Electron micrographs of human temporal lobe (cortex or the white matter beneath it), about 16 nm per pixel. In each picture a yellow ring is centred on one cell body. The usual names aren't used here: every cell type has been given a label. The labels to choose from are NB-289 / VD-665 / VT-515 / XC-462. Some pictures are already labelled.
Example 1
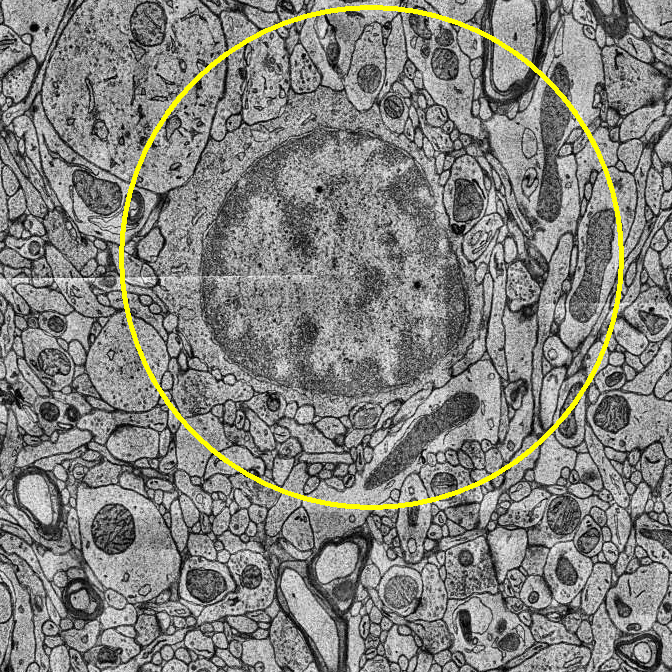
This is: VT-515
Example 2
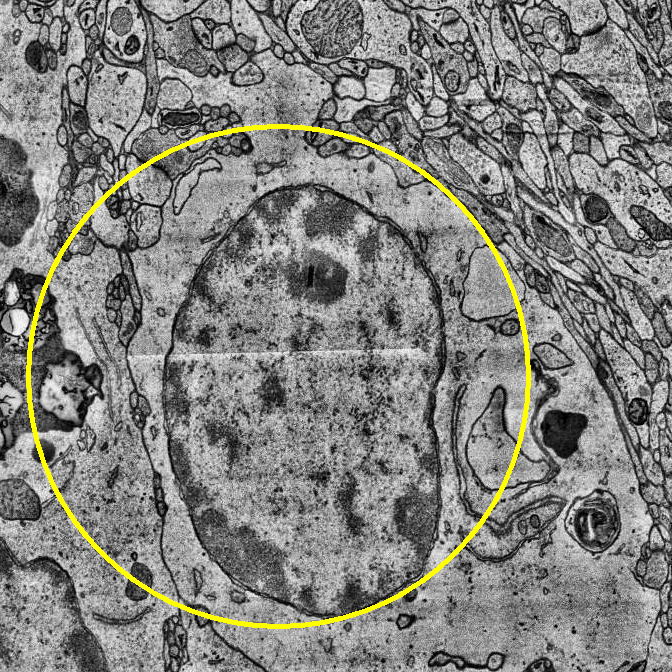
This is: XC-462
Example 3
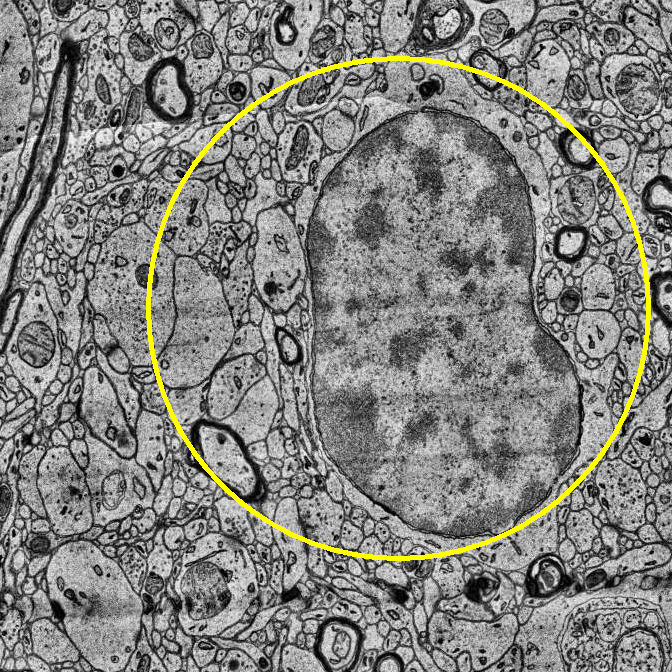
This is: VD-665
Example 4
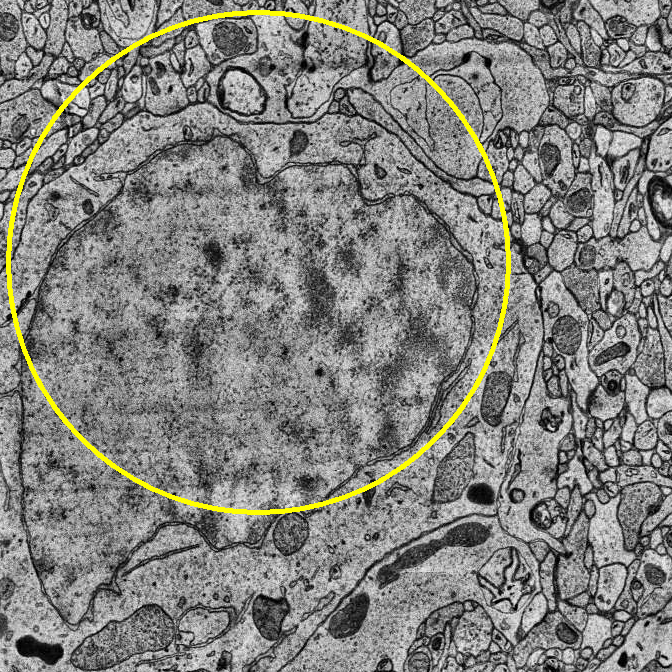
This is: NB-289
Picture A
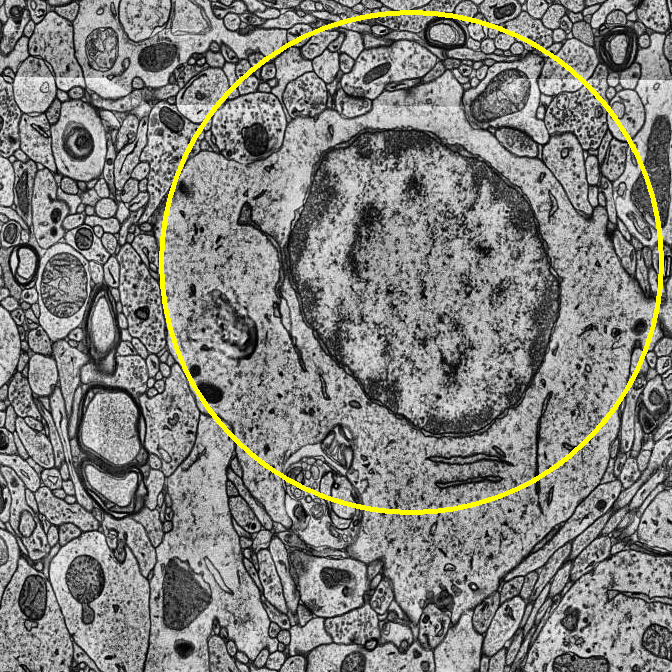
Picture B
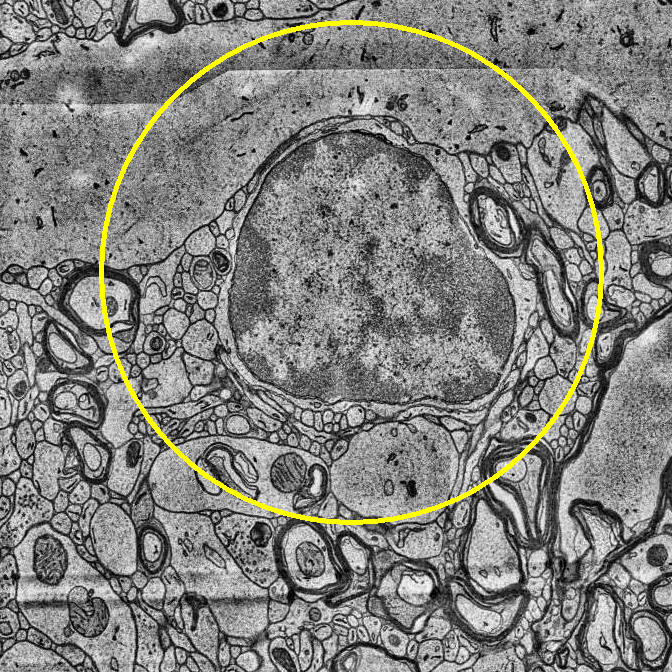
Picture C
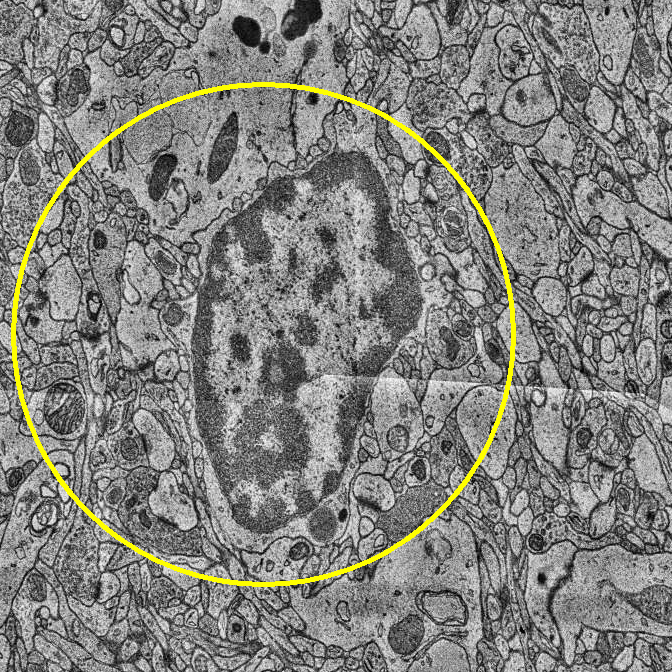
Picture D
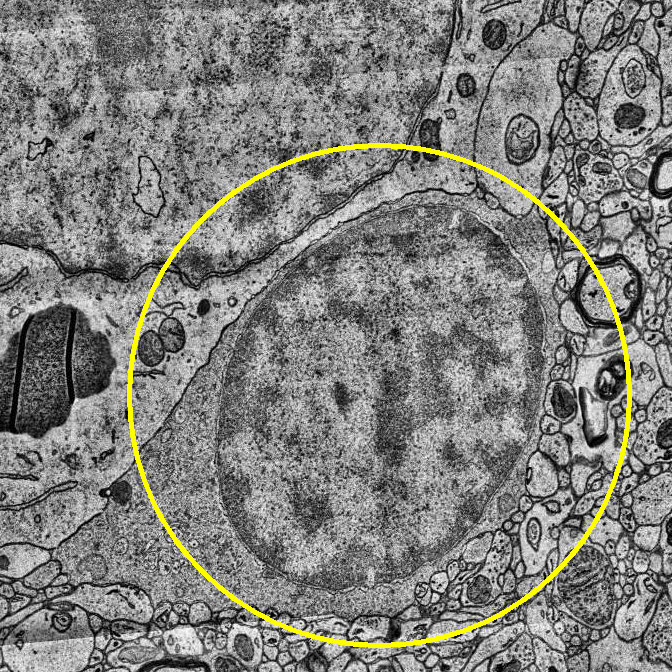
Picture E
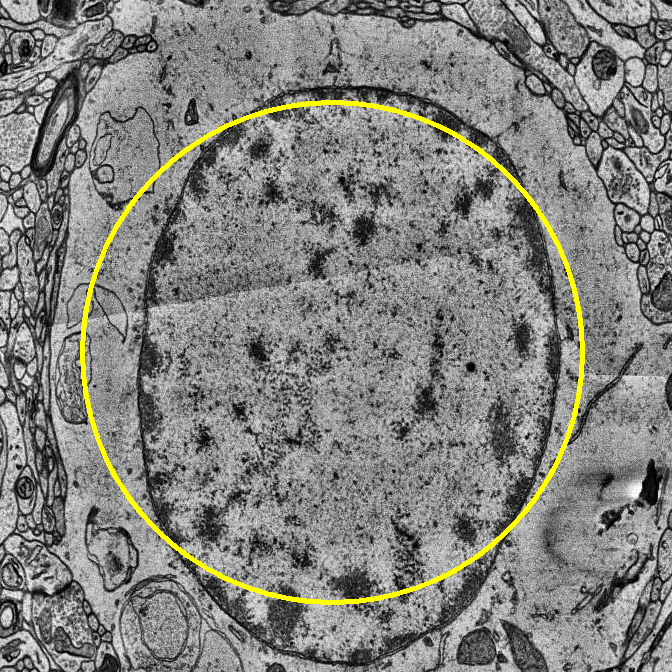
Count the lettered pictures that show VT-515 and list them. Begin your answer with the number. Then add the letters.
Count: 1 (D)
